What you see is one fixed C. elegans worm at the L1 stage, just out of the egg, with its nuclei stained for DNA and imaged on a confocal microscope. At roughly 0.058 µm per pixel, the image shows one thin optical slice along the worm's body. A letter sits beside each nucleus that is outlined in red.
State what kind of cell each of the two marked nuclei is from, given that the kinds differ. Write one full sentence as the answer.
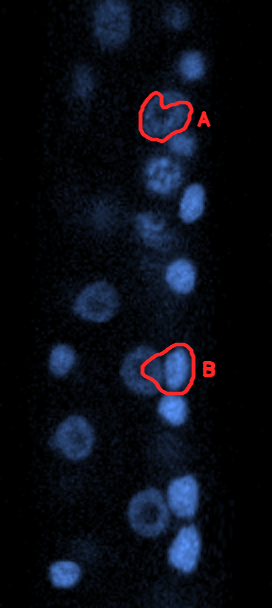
The nucleus A is that of an intestinal cell, while B is that of a neuron.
